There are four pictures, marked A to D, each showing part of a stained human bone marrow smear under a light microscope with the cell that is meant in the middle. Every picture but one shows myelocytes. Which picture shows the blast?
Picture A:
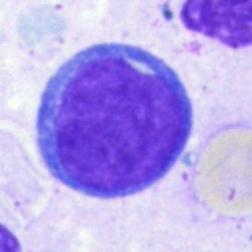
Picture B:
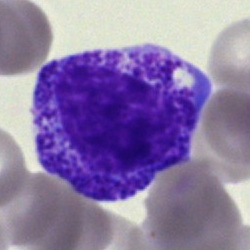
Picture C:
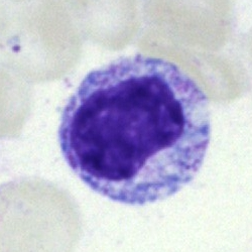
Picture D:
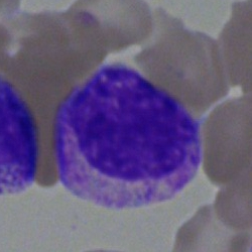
A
